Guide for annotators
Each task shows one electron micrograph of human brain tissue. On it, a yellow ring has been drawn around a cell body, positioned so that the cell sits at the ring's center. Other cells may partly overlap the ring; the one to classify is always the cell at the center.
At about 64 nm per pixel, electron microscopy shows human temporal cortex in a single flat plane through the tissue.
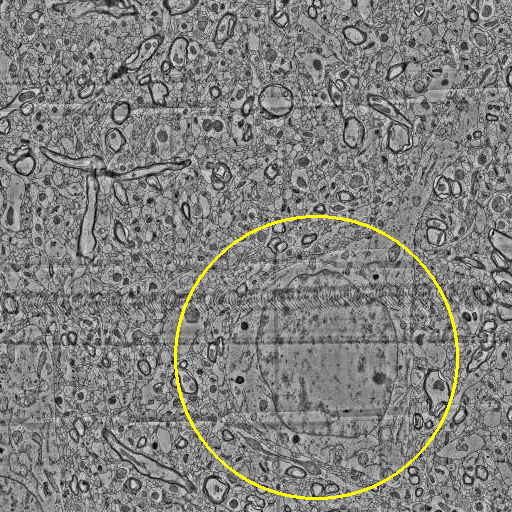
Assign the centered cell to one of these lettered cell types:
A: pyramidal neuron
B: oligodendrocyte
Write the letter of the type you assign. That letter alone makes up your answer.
A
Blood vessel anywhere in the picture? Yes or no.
No, the image shows no blood vessel.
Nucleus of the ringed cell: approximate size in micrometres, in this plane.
The nucleus comes to roughly 10 micrometres across in this plane.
